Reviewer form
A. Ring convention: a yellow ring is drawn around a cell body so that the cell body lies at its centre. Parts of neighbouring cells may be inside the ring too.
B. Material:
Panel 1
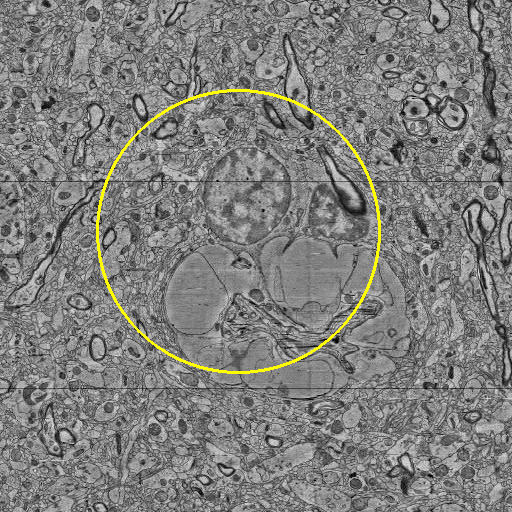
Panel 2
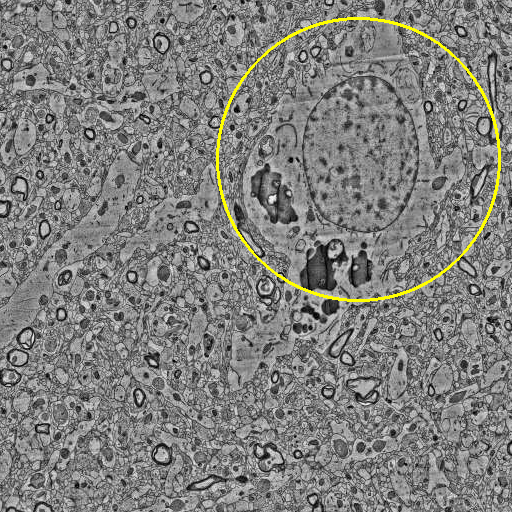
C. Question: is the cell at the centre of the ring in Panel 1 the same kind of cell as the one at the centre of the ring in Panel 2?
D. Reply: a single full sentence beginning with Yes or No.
No, the cells in Panel 1 and Panel 2 are two kinds of cell.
